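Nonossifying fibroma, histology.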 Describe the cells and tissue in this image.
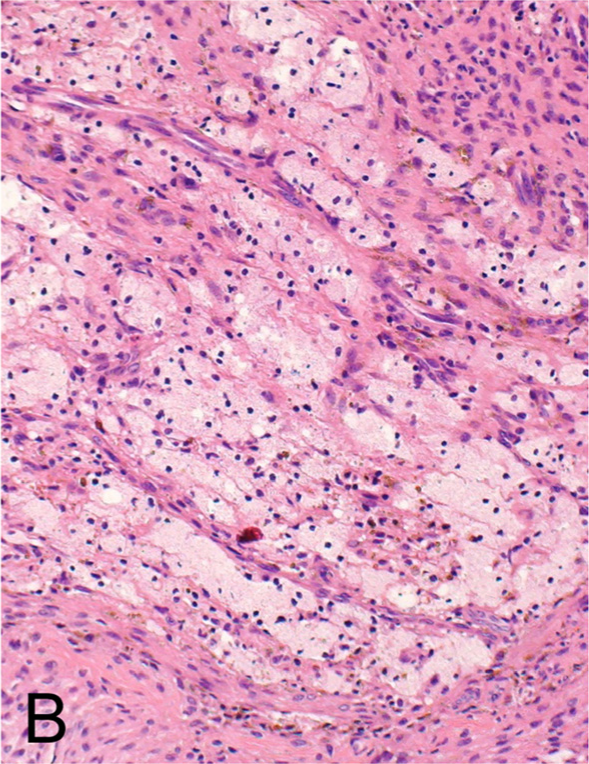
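Sheets of foamy histiocytes with pale, finely vacuolated cytoplasm and small round dark nuclei fill much of the field. Bands of spindle cells with elongated nuclei run between these pale clusters in vague fascicles. Scattered brown pigment granules are present among the cells.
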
